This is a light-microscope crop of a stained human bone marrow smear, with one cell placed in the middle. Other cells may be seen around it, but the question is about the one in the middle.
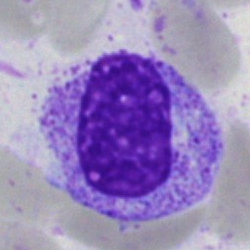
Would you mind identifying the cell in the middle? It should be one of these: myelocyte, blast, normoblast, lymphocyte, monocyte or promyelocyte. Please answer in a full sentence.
Whatever else lies nearby, the middle cell is a myelocyte.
